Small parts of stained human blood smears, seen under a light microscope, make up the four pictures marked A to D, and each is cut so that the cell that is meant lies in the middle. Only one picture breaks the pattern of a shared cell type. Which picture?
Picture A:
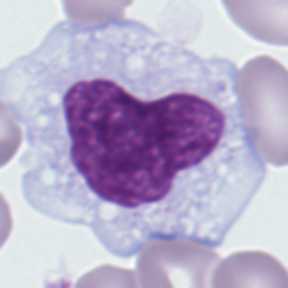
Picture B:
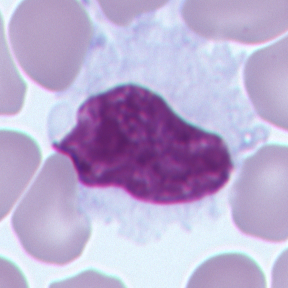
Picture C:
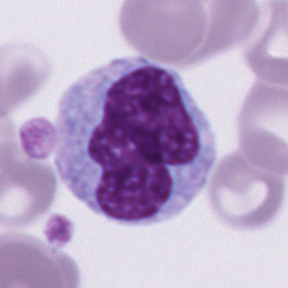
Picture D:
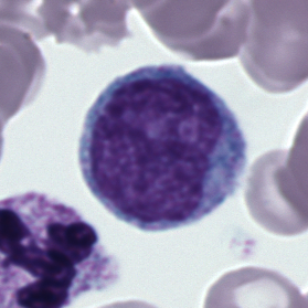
B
